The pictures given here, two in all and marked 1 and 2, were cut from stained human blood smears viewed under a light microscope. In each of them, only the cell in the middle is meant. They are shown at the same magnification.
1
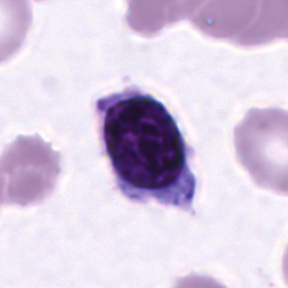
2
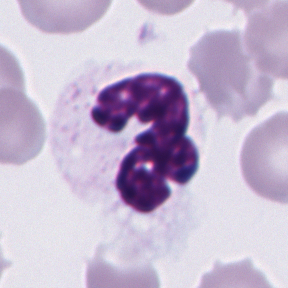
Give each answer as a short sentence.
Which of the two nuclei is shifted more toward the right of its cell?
Seen within its cell, the nucleus in picture 2 lies further toward the right.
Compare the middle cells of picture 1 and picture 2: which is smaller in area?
It is the cell in picture 1; the cell in picture 2 has about 2 times its area.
